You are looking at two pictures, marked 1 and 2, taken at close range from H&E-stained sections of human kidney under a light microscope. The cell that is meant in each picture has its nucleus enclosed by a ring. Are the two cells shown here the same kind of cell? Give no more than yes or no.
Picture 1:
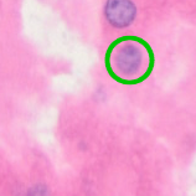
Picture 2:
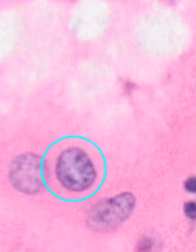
yes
